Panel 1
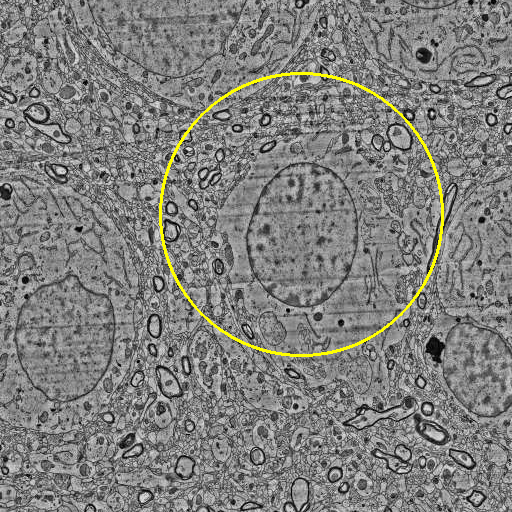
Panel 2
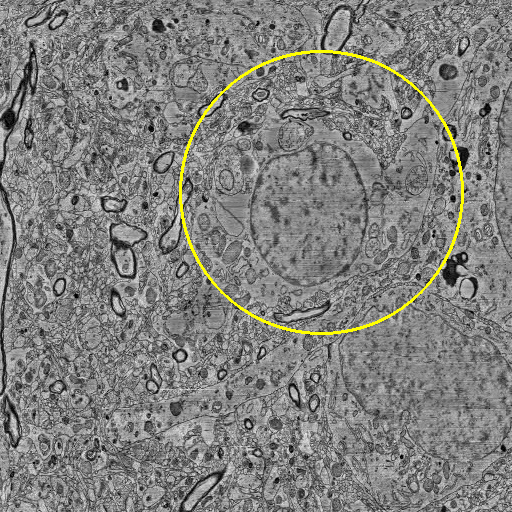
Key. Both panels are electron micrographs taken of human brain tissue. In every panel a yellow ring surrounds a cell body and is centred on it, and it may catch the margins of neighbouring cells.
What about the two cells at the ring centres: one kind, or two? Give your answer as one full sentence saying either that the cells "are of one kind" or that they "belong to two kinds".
Across Panels 1 and 2, the two cells at the ring centres are of one kind.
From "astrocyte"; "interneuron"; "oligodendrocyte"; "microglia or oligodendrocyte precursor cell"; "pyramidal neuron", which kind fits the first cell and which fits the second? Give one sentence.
Each one of the two ringed cells is an astrocyte.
